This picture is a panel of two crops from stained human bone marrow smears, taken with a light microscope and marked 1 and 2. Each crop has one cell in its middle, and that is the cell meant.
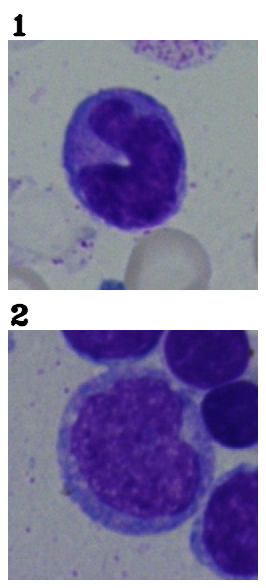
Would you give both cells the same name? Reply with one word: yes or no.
yes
